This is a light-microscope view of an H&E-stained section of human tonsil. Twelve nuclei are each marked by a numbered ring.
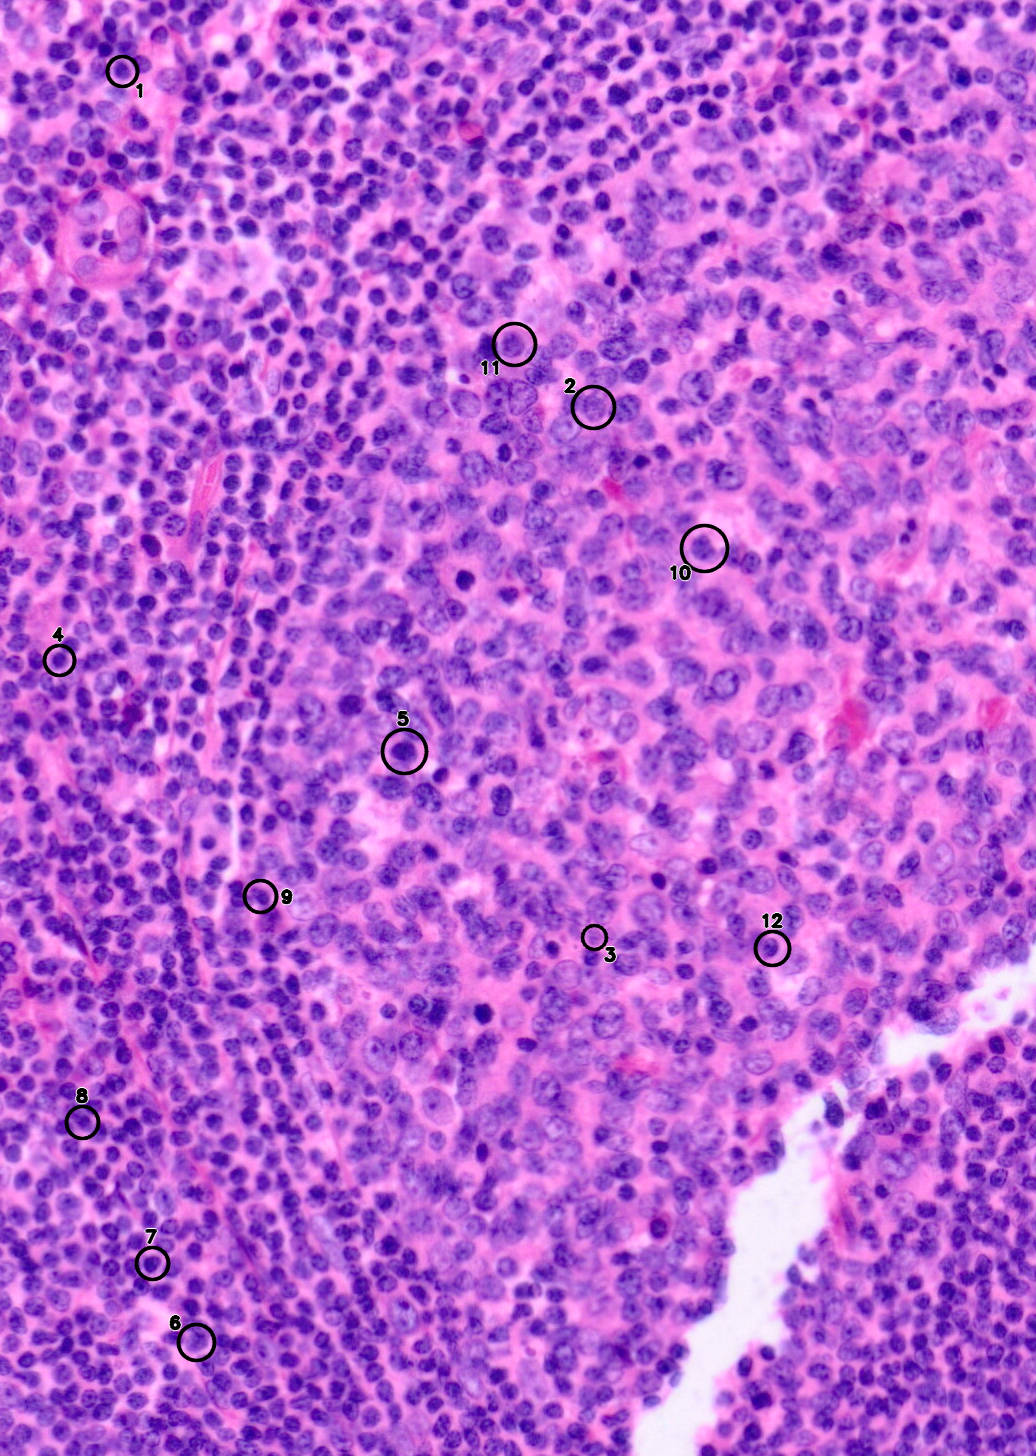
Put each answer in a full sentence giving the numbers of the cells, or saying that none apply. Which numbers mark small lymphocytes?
Each of the cells numbered 1, 4, 6, 7 and 8 is among the small lymphocytes.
